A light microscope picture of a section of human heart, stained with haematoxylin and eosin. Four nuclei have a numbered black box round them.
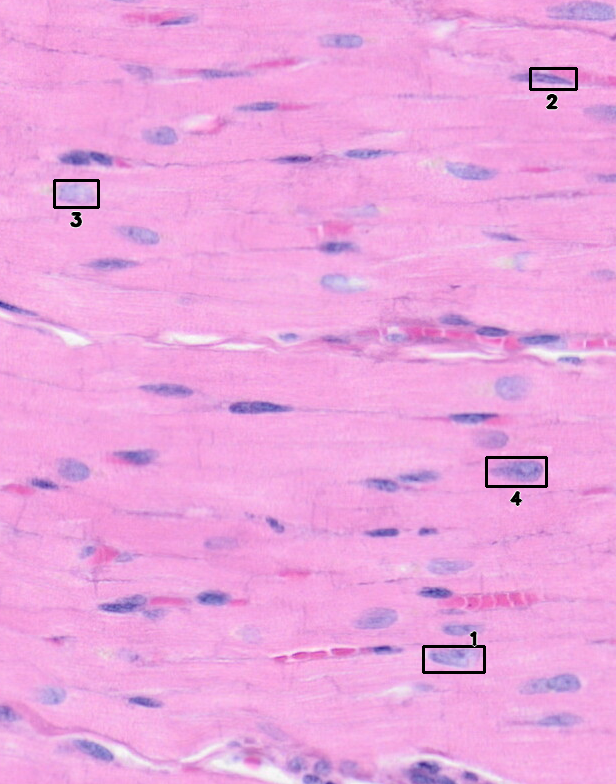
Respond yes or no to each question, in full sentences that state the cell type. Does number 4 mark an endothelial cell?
No, cell 4 is not an endothelial cell; it is a cardiomyocyte.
